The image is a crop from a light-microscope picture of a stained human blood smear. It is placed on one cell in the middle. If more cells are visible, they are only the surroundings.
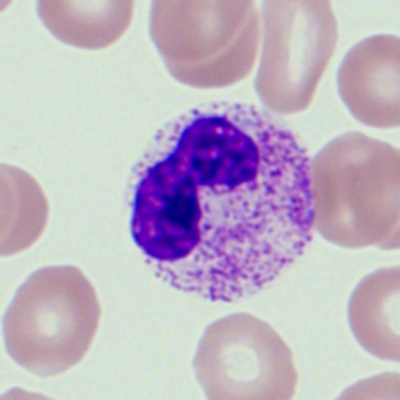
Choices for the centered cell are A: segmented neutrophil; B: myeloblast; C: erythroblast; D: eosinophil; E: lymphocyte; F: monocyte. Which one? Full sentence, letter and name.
The cell in the centre of the crop is a segmented neutrophil, so option A is the correct one.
